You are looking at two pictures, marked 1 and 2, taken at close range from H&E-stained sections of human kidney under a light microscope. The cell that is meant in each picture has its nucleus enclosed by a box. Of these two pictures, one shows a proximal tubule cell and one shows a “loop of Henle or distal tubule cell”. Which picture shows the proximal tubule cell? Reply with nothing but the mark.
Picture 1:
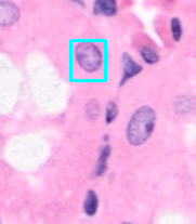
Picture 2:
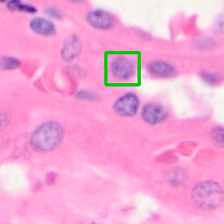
1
